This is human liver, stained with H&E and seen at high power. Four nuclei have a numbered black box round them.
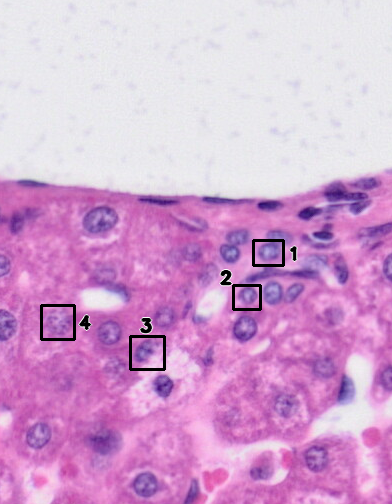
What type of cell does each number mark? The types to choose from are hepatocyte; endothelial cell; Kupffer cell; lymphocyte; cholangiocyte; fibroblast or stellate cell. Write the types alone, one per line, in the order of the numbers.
cholangiocyte
cholangiocyte
cholangiocyte
hepatocyte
